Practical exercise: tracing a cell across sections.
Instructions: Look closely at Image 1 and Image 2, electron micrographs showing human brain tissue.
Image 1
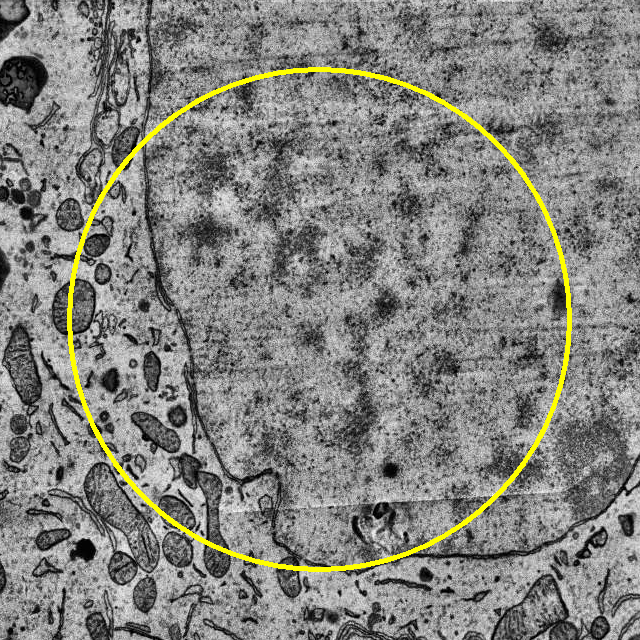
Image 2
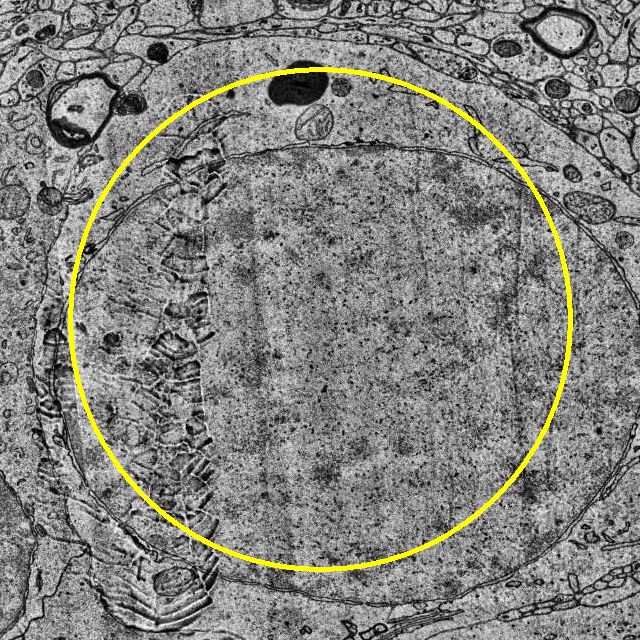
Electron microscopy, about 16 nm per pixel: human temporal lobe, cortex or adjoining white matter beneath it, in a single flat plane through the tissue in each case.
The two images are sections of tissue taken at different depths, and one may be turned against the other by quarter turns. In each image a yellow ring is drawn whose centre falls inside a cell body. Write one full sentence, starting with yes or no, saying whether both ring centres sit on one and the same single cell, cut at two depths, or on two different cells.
No, the yellow rings mark two cells that are not the same.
